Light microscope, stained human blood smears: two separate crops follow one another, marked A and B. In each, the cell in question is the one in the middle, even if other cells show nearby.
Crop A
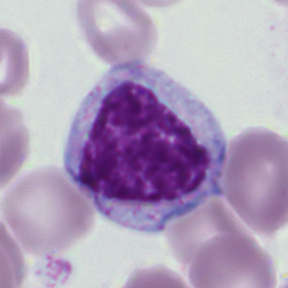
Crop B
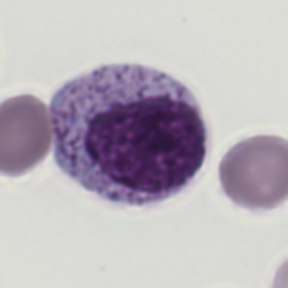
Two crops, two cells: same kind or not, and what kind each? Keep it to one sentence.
Yes, it is myelocytes that occupy the middle of both crops.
